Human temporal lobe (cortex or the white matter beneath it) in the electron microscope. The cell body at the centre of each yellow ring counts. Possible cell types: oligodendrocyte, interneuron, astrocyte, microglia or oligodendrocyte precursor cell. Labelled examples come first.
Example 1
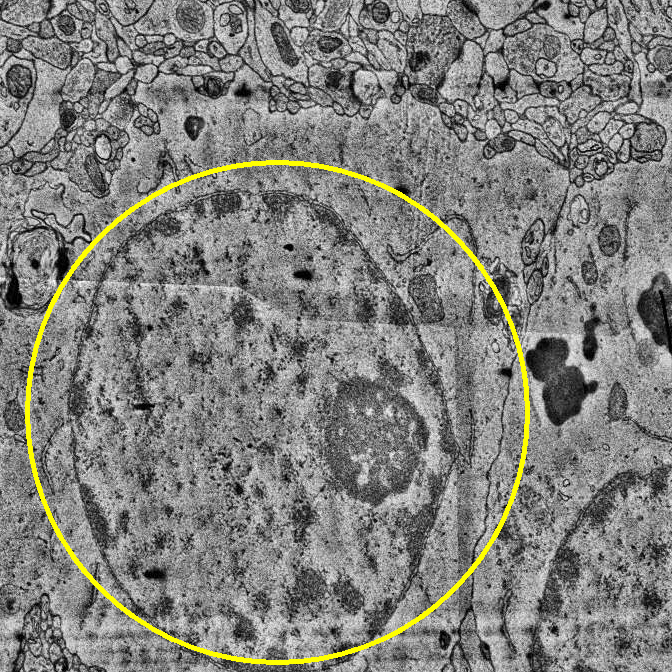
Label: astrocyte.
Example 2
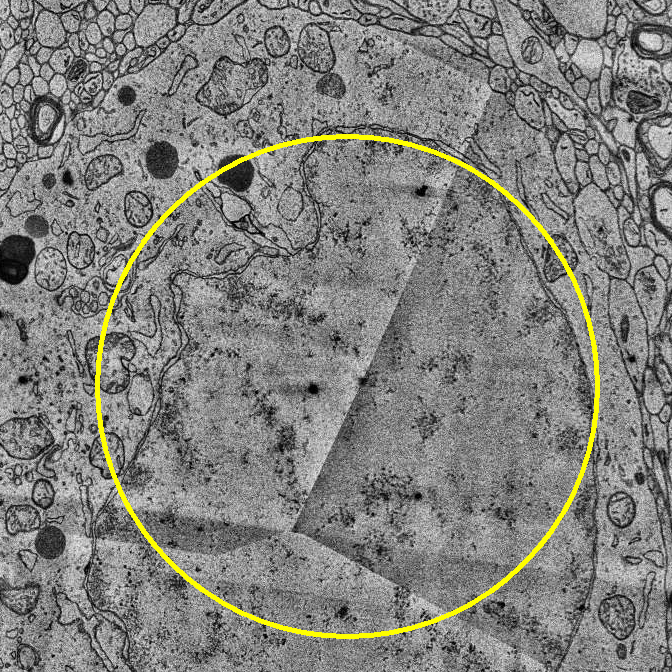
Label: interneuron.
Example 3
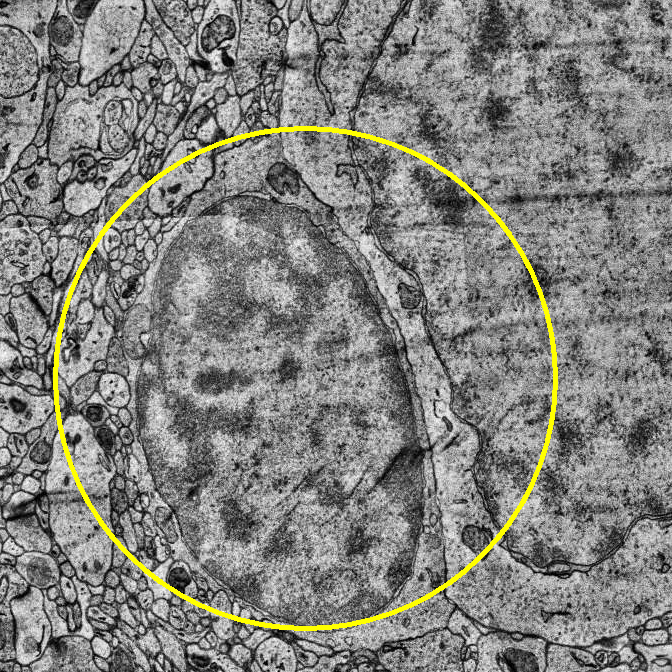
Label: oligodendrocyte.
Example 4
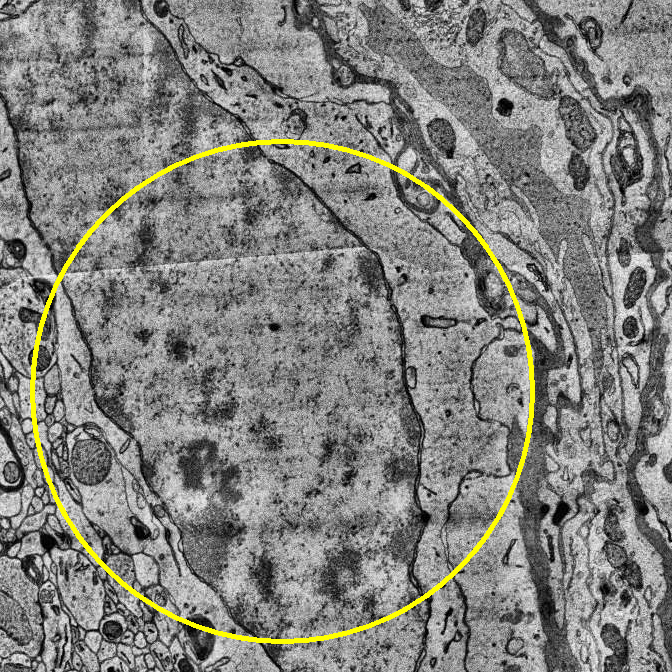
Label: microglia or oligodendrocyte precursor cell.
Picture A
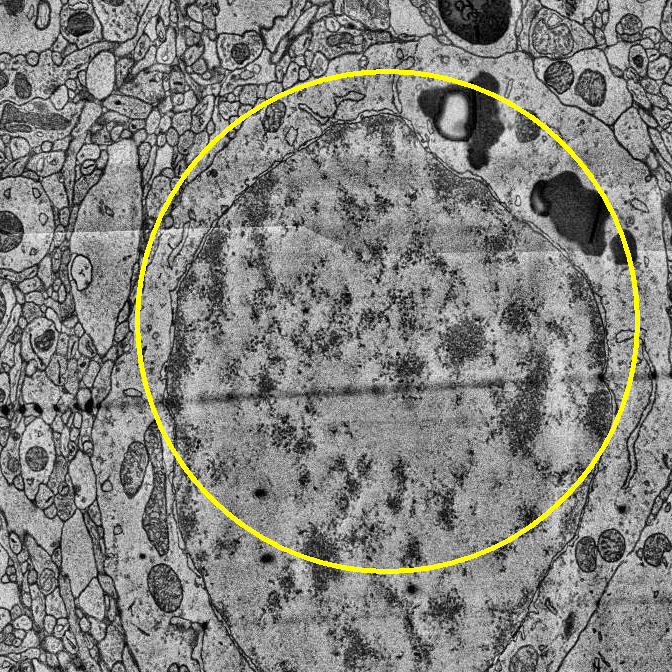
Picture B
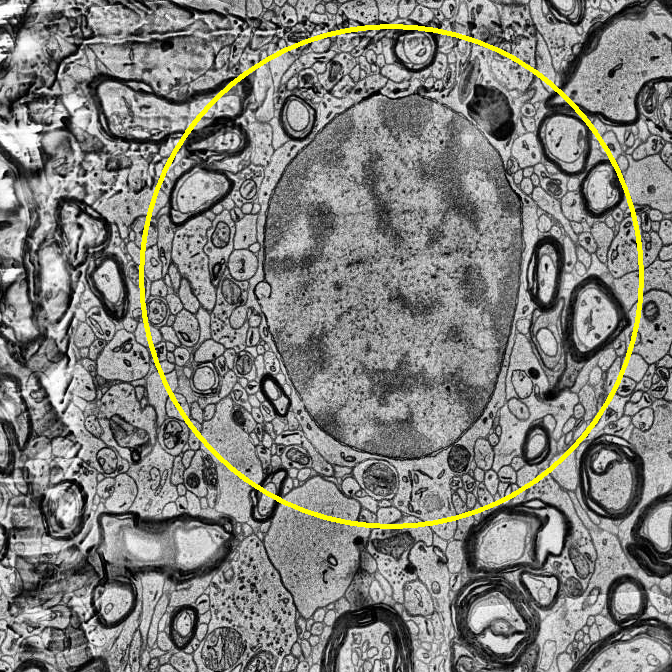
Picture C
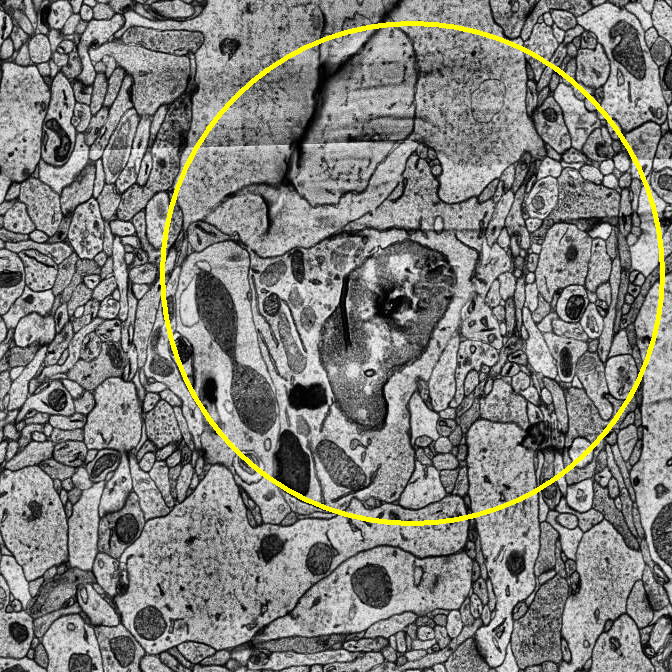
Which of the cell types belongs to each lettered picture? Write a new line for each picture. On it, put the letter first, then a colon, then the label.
A: interneuron.
B: microglia or oligodendrocyte precursor cell.
C: microglia or oligodendrocyte precursor cell.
